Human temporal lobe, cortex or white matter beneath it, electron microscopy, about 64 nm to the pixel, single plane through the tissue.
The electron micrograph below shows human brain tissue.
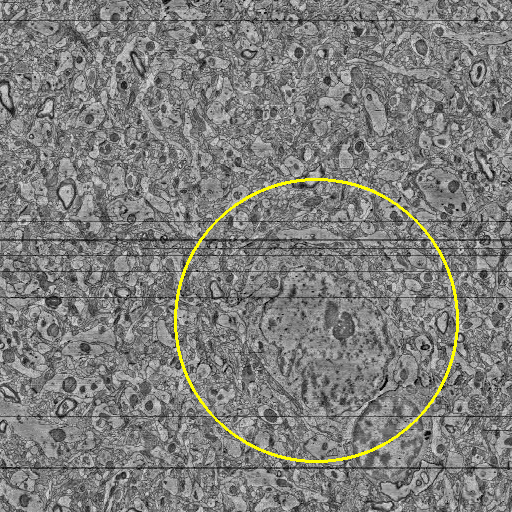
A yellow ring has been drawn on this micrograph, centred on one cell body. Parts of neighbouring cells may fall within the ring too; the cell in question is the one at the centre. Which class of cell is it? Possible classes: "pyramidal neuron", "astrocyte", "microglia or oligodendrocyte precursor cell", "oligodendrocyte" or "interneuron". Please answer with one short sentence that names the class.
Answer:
In the centre of the ring sits an interneuron.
